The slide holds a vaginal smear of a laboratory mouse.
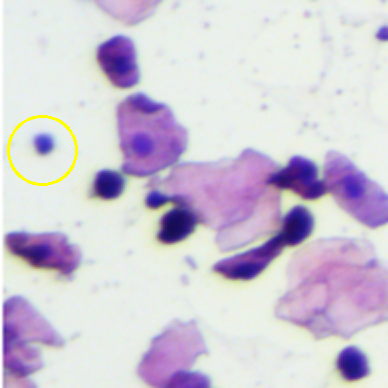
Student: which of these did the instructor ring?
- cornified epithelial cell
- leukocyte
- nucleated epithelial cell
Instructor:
The cell I ringed is a leukocyte.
